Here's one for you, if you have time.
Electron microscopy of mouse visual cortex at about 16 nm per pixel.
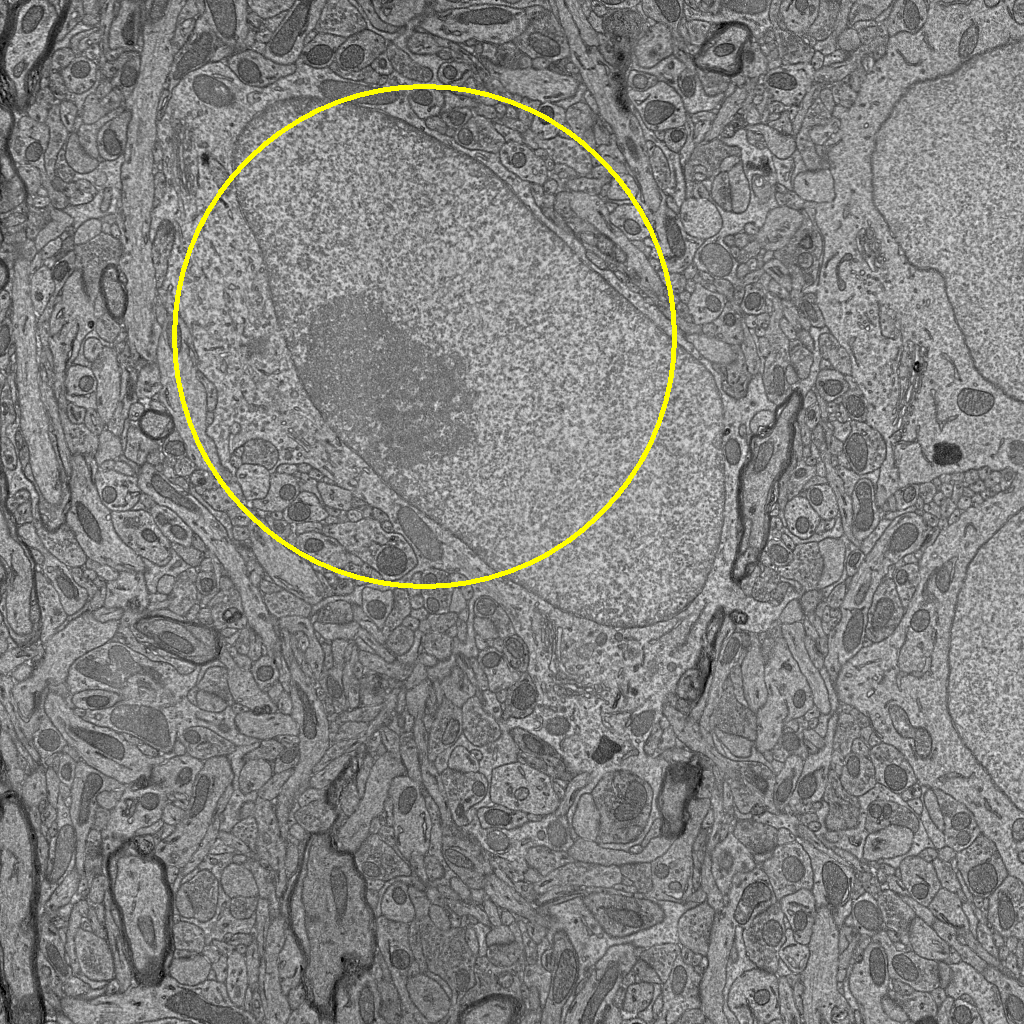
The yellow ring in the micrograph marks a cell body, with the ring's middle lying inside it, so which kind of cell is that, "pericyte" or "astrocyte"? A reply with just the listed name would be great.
astrocyte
